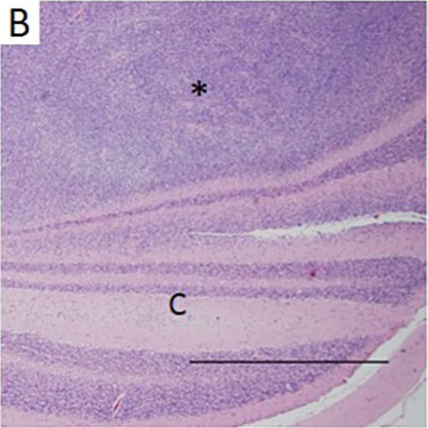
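A solid, densely cellular purple tumor mass occupies the upper part of the field. It lies against the layered folia of the cerebellum below, where pale pink bands alternate with dark, densely cellular bands.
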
